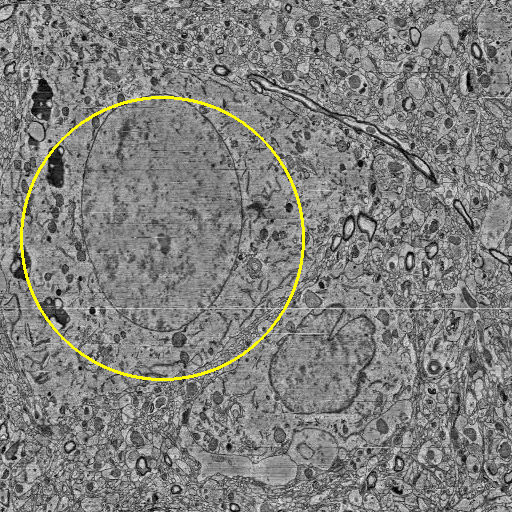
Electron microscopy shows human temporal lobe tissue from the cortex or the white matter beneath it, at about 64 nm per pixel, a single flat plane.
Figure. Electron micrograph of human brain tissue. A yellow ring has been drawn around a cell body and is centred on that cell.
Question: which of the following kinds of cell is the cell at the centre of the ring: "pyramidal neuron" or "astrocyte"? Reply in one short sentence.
The cell at the centre of the ring is a pyramidal neuron.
